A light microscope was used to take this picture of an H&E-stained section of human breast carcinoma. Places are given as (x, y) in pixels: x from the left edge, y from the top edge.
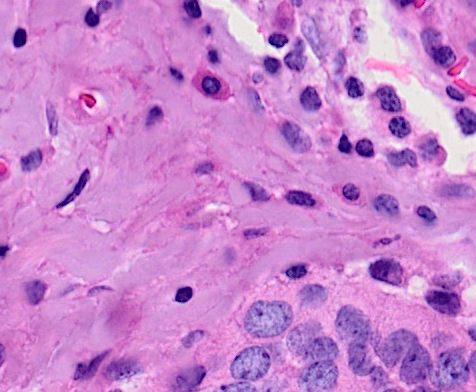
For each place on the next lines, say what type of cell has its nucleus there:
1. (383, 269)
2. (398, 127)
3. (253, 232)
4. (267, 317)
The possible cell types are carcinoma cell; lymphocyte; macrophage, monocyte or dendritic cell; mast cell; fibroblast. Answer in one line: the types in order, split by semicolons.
carcinoma cell; mast cell; fibroblast; carcinoma cell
